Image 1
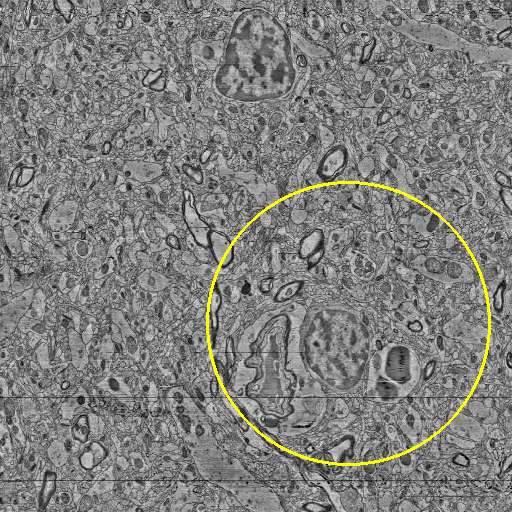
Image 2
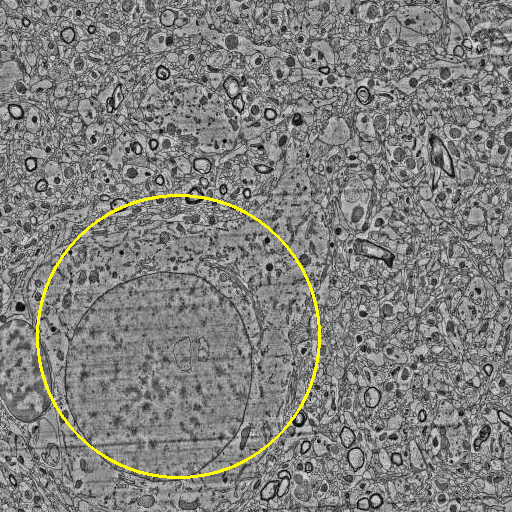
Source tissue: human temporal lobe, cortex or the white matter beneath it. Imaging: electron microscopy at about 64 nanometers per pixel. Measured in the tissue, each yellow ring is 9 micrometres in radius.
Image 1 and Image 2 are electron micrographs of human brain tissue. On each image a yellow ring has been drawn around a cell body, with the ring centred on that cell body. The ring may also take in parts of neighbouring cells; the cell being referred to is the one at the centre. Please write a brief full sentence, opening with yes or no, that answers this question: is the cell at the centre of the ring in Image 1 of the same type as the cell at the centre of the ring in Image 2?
No, the two cells are of two types.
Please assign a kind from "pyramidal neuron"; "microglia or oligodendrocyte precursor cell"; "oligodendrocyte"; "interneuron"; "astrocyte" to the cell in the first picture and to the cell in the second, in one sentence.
In the first picture we have an oligodendrocyte, and in the second, a pyramidal neuron.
